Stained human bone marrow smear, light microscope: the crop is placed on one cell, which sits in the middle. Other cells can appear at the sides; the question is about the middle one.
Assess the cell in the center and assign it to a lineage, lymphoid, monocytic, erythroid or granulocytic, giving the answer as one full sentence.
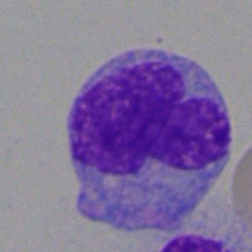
The cell positioned centrally in this crop arises from the monocytic lineage.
